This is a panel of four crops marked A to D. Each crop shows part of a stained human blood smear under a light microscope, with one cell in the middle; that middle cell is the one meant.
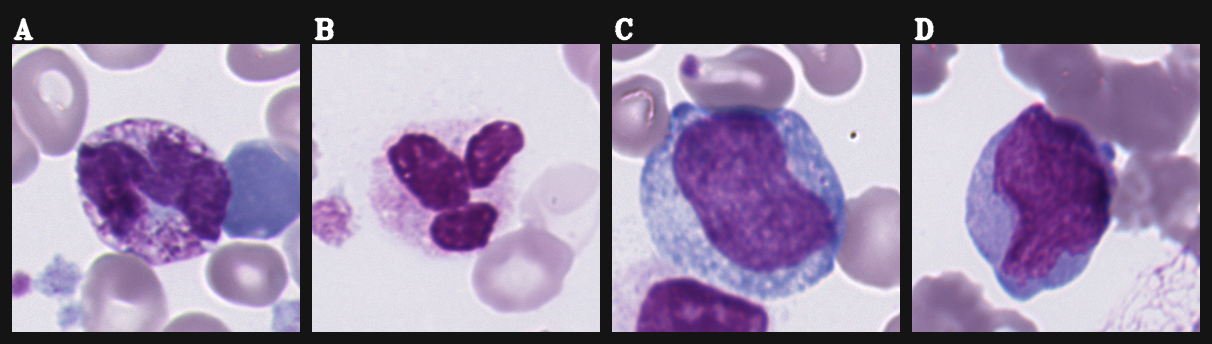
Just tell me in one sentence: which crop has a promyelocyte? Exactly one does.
In this series, a promyelocyte is shown by crop C.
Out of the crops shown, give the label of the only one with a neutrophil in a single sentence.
It is crop B that shows a neutrophil.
